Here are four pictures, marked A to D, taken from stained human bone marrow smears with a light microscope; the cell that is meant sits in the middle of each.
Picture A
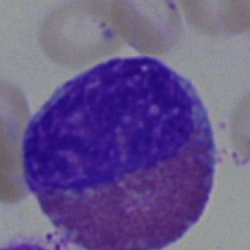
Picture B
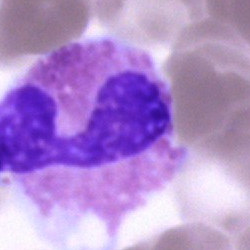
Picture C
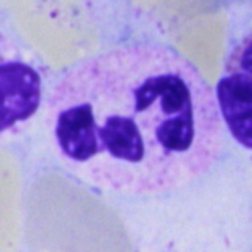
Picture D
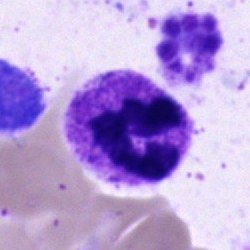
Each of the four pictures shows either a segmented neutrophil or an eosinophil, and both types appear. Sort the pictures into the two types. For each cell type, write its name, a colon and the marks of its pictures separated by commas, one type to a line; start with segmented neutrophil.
segmented neutrophil: C, D
eosinophil: A, B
